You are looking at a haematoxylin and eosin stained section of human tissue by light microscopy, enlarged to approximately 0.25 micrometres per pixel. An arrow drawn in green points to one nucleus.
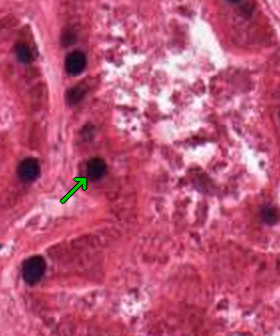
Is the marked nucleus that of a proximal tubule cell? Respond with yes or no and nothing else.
yes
